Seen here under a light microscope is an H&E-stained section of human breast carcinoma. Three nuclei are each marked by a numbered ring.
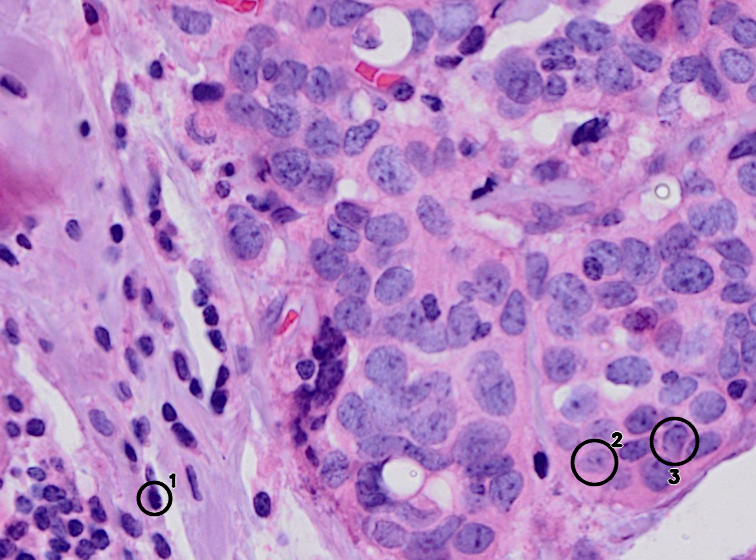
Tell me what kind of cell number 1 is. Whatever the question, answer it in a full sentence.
That cell with number 1 is a lymphocyte.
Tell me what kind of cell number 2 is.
Cell 2 should be recorded as a carcinoma cell.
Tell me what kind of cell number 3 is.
As for number 3, that cell is a carcinoma cell.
